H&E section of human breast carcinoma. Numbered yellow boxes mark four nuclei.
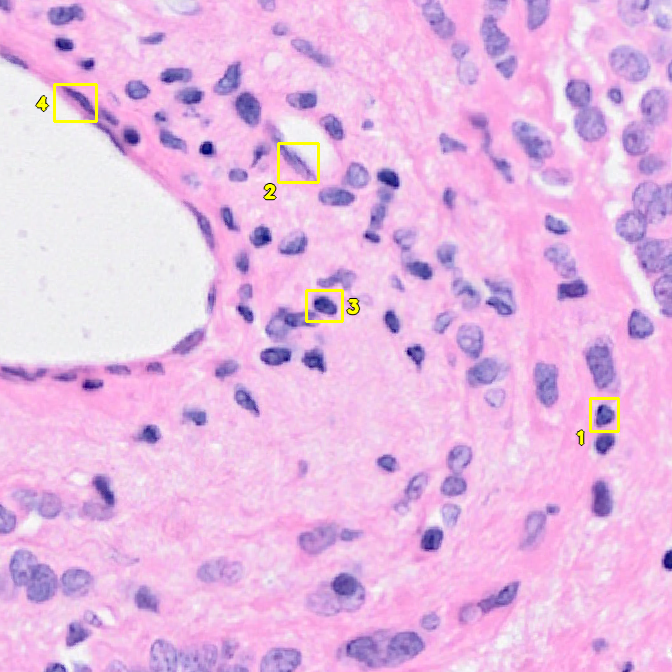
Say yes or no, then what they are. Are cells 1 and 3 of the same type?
Yes, both cells 1 and 3 are lymphocytes.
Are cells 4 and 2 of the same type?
Yes, in short, cells 4 and 2 are both endothelial cells.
